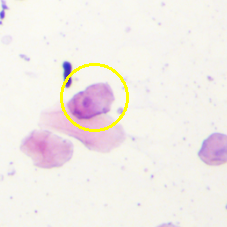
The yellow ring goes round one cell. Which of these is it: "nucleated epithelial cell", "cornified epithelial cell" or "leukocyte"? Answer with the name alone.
cornified epithelial cell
